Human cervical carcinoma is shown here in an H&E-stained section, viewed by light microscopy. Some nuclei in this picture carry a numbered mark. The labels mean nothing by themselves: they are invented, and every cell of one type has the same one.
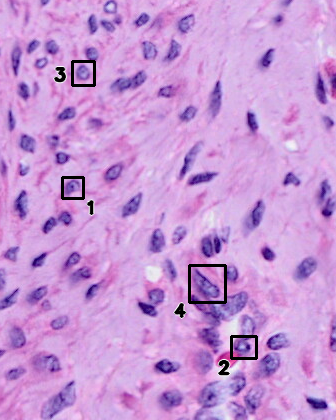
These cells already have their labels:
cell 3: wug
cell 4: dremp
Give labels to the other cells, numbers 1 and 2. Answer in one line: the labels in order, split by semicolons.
wug; dremp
